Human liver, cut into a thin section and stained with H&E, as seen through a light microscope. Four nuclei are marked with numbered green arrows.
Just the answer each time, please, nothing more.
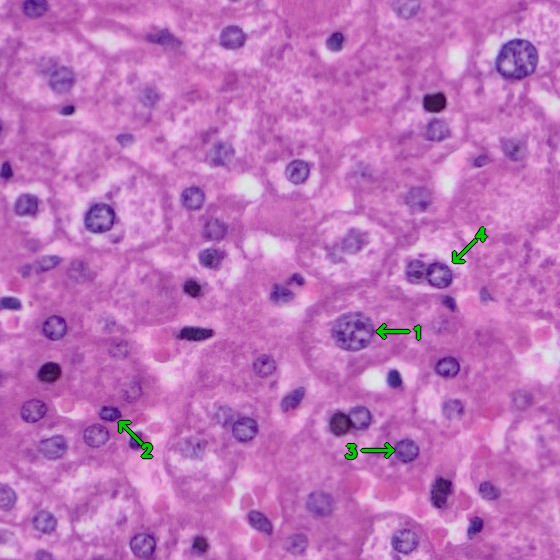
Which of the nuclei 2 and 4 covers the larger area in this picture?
4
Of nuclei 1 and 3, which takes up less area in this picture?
3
